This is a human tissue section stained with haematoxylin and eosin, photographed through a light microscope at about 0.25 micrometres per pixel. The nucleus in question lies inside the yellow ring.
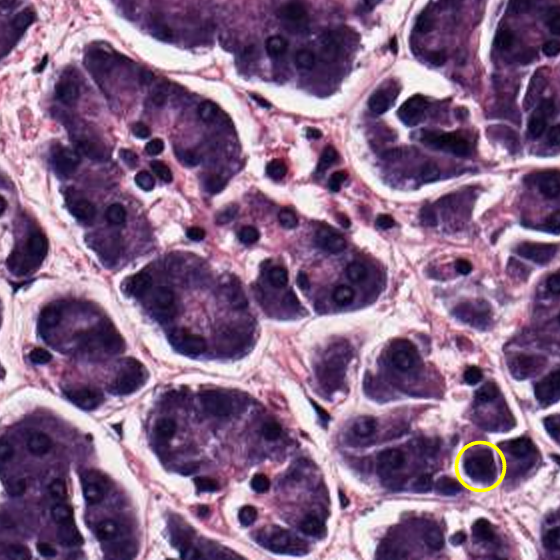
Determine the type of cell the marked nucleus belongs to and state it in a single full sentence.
The marked nucleus here is the nucleus of a pancreatic acinar cell.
